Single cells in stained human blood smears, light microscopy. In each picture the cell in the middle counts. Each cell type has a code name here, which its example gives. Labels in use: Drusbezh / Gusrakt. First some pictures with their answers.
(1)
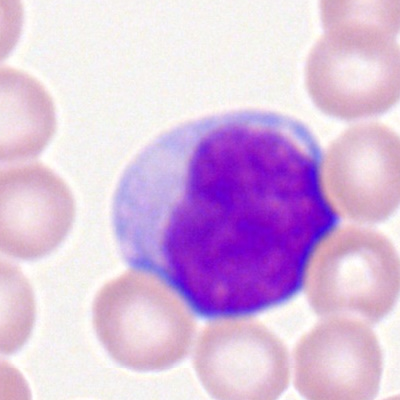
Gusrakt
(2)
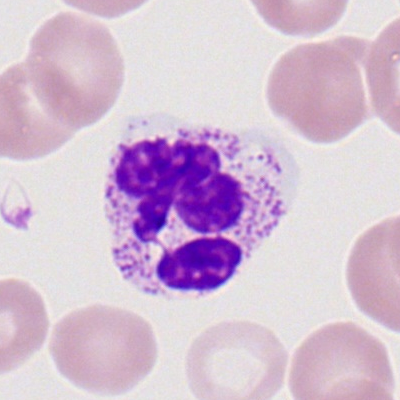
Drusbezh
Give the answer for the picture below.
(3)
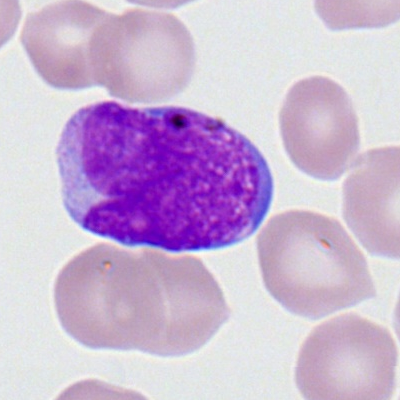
Gusrakt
